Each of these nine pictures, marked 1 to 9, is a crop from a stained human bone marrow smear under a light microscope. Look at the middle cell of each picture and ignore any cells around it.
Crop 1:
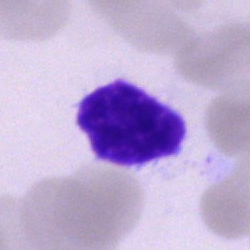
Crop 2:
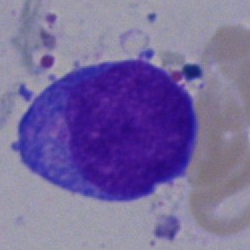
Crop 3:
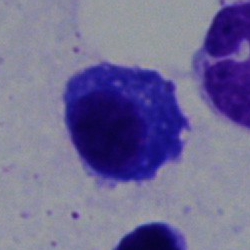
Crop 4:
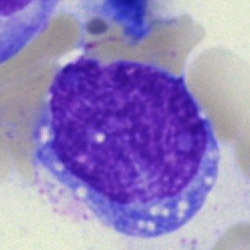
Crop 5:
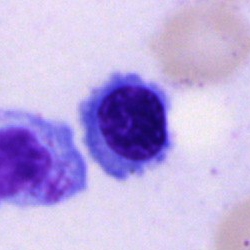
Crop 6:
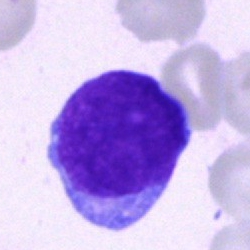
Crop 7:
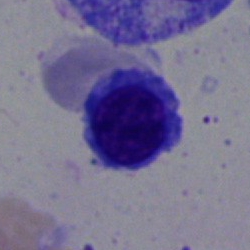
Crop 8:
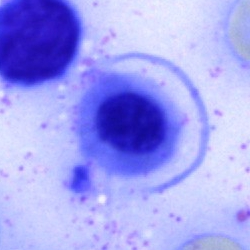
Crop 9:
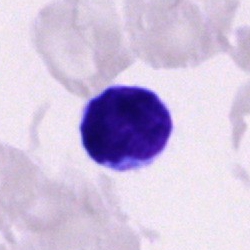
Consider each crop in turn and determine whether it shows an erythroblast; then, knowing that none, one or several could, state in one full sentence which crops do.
The cells marked 5, 7 and 8 are erythroblasts.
